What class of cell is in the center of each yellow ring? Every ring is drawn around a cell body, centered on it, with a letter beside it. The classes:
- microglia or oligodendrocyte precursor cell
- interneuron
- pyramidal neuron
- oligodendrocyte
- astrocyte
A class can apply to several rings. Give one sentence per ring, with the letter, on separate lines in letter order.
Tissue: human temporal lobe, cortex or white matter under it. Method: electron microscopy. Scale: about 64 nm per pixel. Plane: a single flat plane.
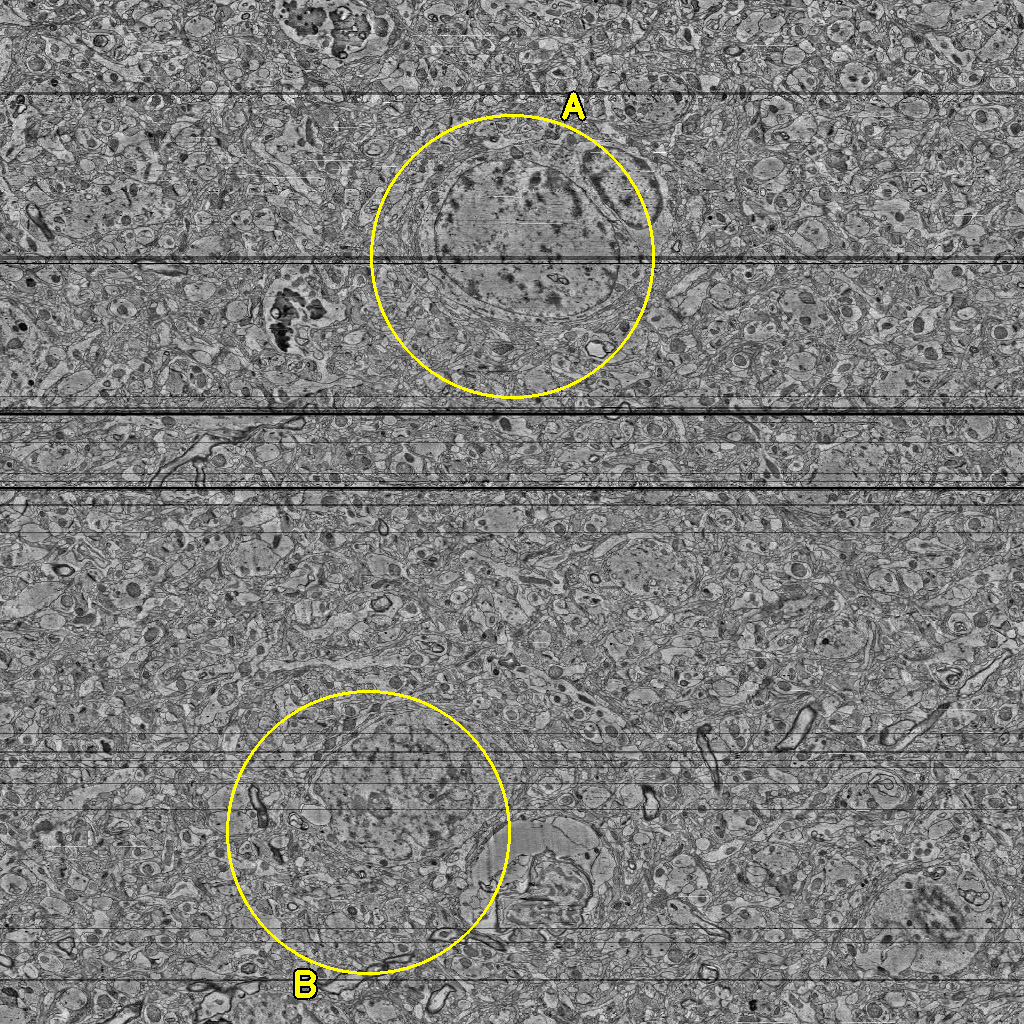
Ring A holds a pyramidal neuron at its center.
Ring B holds an interneuron at its center.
